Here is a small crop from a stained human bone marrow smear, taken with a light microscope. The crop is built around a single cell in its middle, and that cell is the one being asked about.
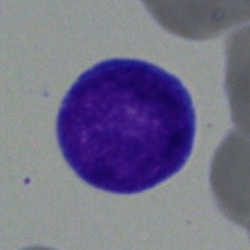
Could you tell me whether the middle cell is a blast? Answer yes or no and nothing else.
yes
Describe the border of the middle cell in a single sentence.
Its periphery is smooth, and no projections arise from it.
